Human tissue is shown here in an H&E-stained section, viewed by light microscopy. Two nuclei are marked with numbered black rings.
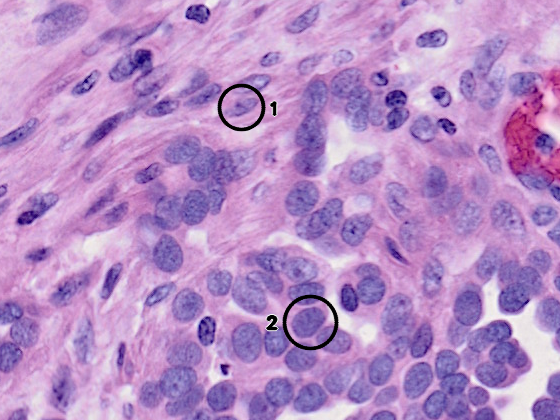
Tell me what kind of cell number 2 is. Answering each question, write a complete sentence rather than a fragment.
The nucleus labelled 2 belongs to a carcinoma cell.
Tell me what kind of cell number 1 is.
Marked with the number 1, this cell is a fibroblast.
